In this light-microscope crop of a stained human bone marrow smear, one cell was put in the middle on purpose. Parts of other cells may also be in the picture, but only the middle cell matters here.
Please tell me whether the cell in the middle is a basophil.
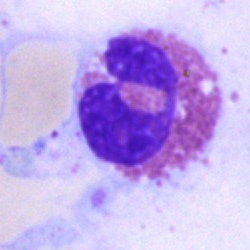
no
